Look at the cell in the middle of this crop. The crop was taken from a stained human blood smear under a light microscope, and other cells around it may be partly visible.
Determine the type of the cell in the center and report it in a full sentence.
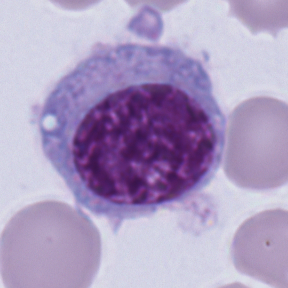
The center cell of this crop is a plasma cell.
